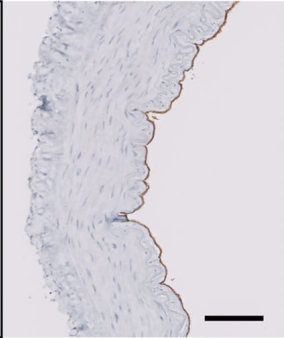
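This is a strip of an artery wall, with the empty lumen to the right and the wall's layers to the left. A thin, wavy brown line runs along the inner surface, marking the single-cell lining that faces the lumen. Beneath it the wall is pale and layered, with many elongated, faintly blue nuclei lying parallel to the surface. The inner border is finely folded, as is usual in a contracted artery cut in section.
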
